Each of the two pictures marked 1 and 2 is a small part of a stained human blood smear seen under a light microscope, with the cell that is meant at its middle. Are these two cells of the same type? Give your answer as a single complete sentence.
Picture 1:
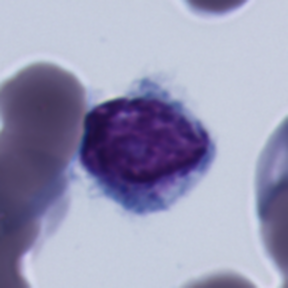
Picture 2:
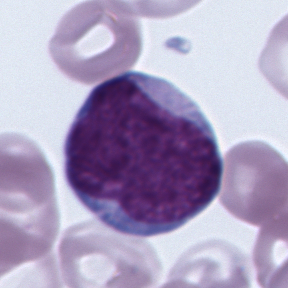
No; the cell in picture 1 is a hairy cell, while the one in picture 2 is a myeloblast.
